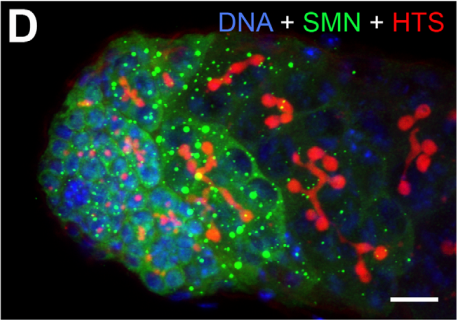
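The apical tip of a testis is shown with a cluster of small cells with blue nuclei at the left. Green fills the cytoplasm most strongly near the tip and fades toward the right, with many bright green dots scattered through the tissue.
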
